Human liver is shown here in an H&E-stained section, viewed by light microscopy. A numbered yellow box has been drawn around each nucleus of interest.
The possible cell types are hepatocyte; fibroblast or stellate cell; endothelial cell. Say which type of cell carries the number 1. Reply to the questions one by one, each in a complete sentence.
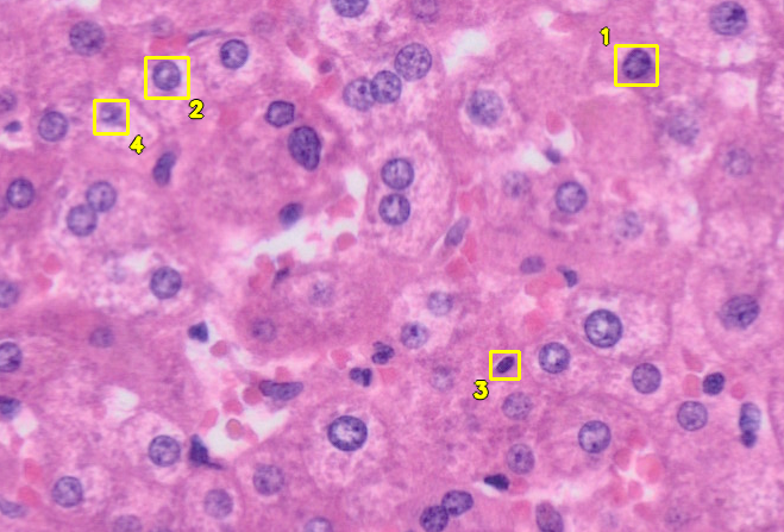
Marked with the number 1, this cell is a hepatocyte.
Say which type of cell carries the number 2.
The cell whose nucleus carries the number 2 is a hepatocyte.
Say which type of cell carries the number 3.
Denoted by the label 3 in the section is a fibroblast or stellate cell.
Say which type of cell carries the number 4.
The marked nucleus 4 is that of a hepatocyte.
